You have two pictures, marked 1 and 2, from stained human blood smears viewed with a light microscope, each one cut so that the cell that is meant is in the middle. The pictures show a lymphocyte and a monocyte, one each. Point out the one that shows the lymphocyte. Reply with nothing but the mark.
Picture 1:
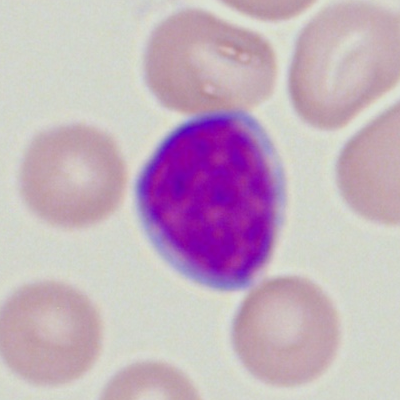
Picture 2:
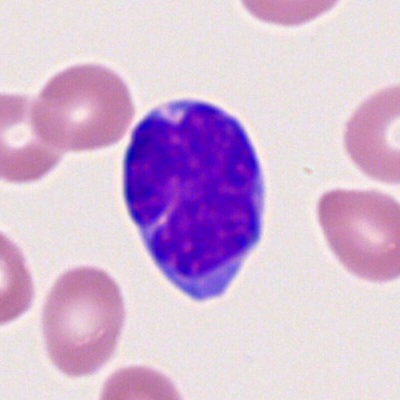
1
